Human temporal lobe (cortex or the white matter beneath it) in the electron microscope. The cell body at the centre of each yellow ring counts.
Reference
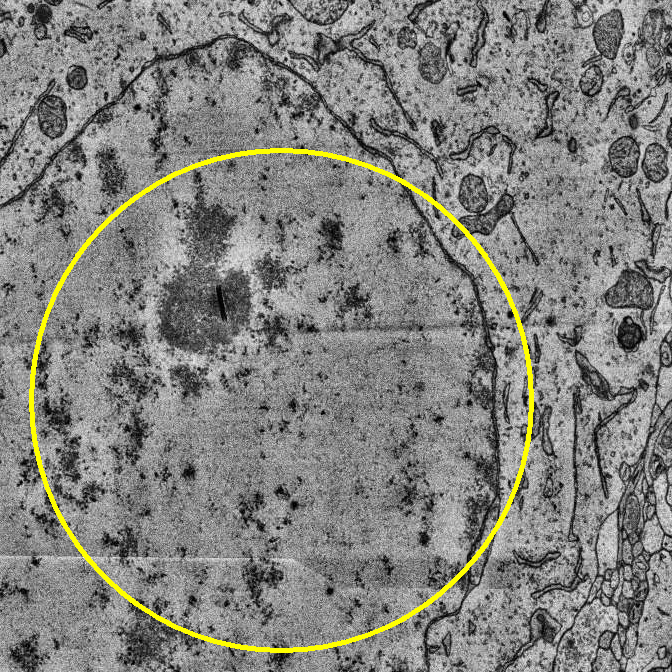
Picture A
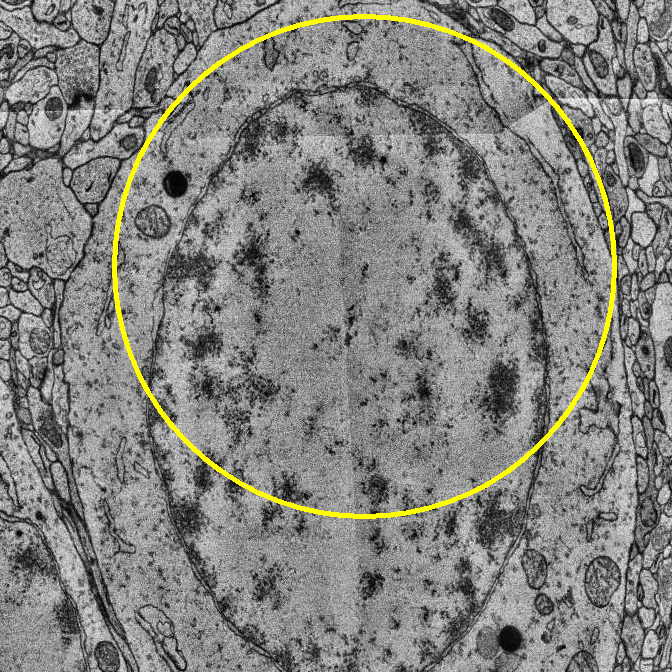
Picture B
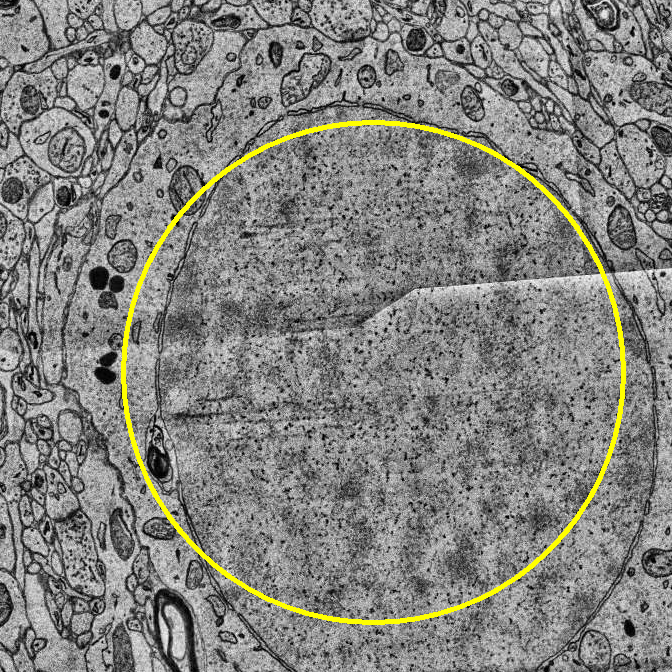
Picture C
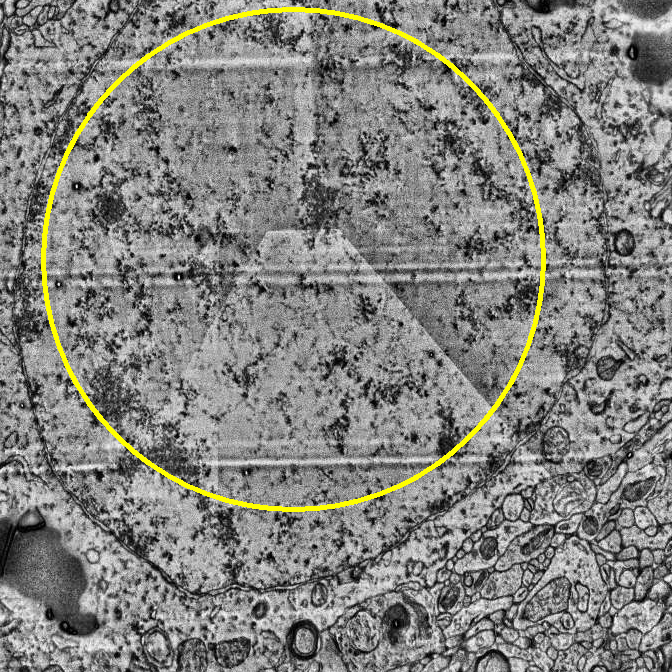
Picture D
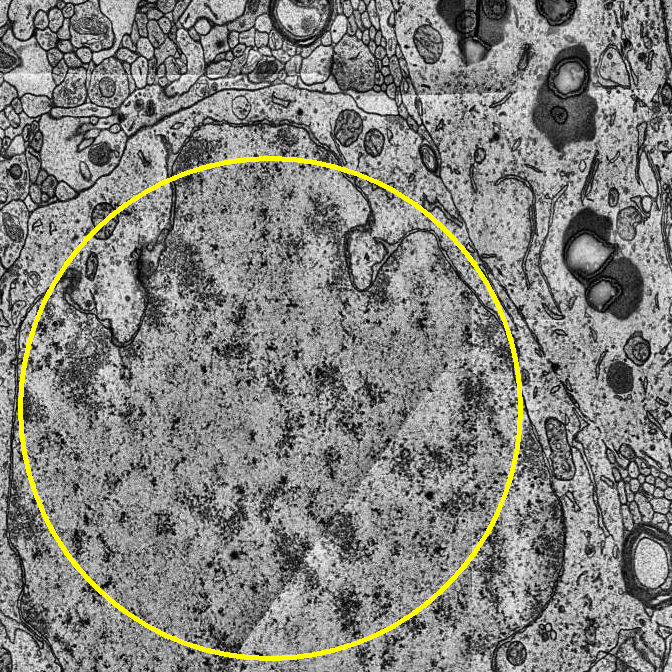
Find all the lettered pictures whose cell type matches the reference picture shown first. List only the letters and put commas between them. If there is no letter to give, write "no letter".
A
